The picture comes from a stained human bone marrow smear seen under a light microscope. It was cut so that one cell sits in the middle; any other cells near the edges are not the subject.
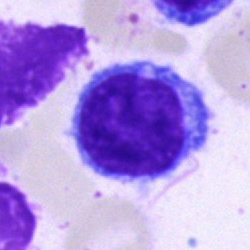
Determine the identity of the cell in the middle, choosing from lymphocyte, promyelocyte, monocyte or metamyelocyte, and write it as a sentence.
On this slide crop, the central cell is a lymphocyte.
